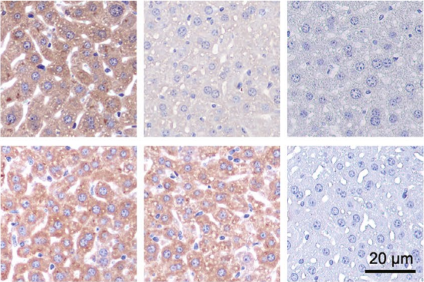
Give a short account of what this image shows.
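These are liver sections in which large polygonal hepatocytes with round, centrally placed blue nuclei form plates separated by narrow sinusoidal spaces. A few hepatocytes hold two nuclei, and the nuclei show small dark nucleoli.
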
